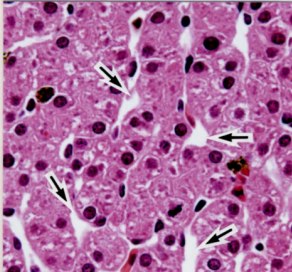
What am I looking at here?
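This is liver with hepatocytes arranged in plates about two cells thick. The hepatocytes are polyhedral to rounded, with pale pink cytoplasm and a round nucleus with a visible dark nucleolus. Narrow, irregular clear slits, the sinusoidal capillaries, run between the plates and are lined by flattened dark nuclei. A few red blood cells and clumps of brown pigment lie among the cells.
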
